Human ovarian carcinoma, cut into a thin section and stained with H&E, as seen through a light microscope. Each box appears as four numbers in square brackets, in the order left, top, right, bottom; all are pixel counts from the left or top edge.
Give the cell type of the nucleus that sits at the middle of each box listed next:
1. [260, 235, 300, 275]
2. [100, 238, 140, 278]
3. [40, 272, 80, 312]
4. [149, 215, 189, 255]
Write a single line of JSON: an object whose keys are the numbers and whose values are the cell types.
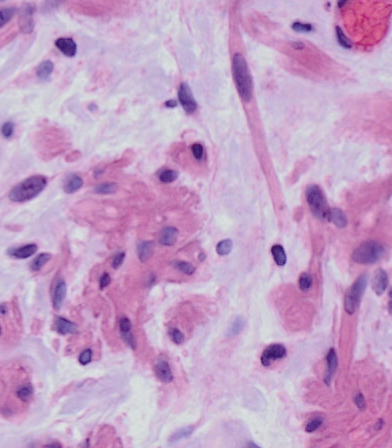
{"1": "lymphocyte", "2": "smooth muscle cell", "3": "smooth muscle cell", "4": "smooth muscle cell"}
